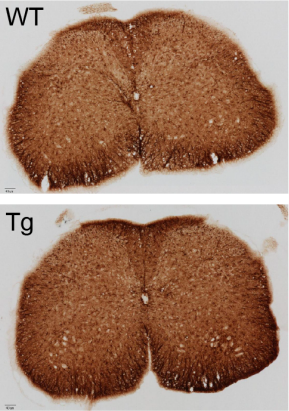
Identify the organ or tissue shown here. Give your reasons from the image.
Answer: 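Transverse sections with a butterfly-shaped central region surrounded by a rim. A deep ventral midline fissure separates the two halves. A small central canal lies near the middle.
Spinal cord.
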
